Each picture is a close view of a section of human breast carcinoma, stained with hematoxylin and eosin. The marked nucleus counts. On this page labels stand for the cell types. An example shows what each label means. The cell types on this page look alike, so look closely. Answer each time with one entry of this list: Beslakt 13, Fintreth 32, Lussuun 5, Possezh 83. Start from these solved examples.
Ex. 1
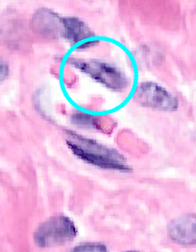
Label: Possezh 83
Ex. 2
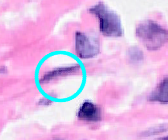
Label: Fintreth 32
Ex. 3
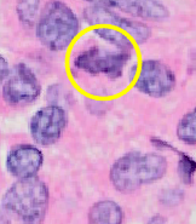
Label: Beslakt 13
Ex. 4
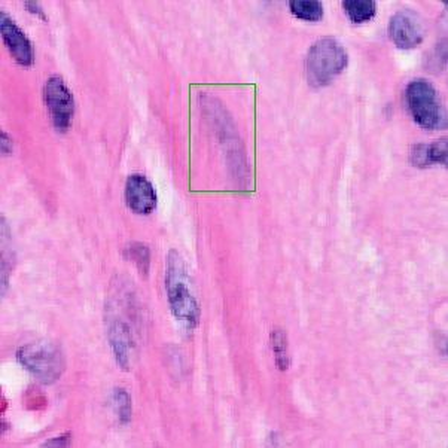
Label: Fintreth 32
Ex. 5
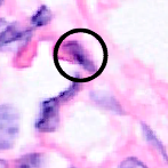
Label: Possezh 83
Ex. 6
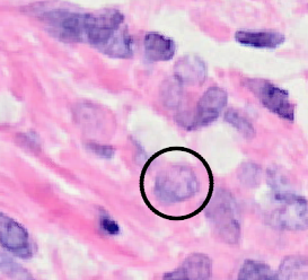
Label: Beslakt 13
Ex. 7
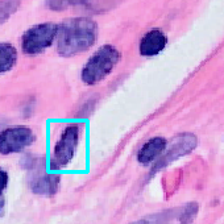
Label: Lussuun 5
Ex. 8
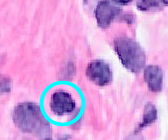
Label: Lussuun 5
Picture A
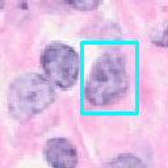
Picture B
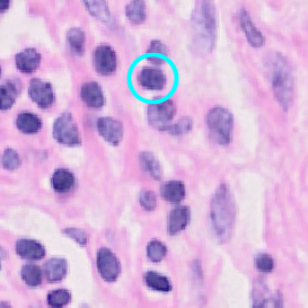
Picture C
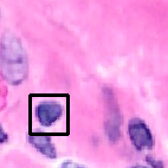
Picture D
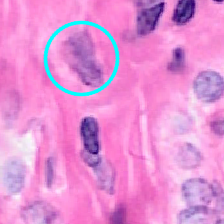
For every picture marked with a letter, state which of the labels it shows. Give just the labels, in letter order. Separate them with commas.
Beslakt 13, Lussuun 5, Lussuun 5, Fintreth 32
